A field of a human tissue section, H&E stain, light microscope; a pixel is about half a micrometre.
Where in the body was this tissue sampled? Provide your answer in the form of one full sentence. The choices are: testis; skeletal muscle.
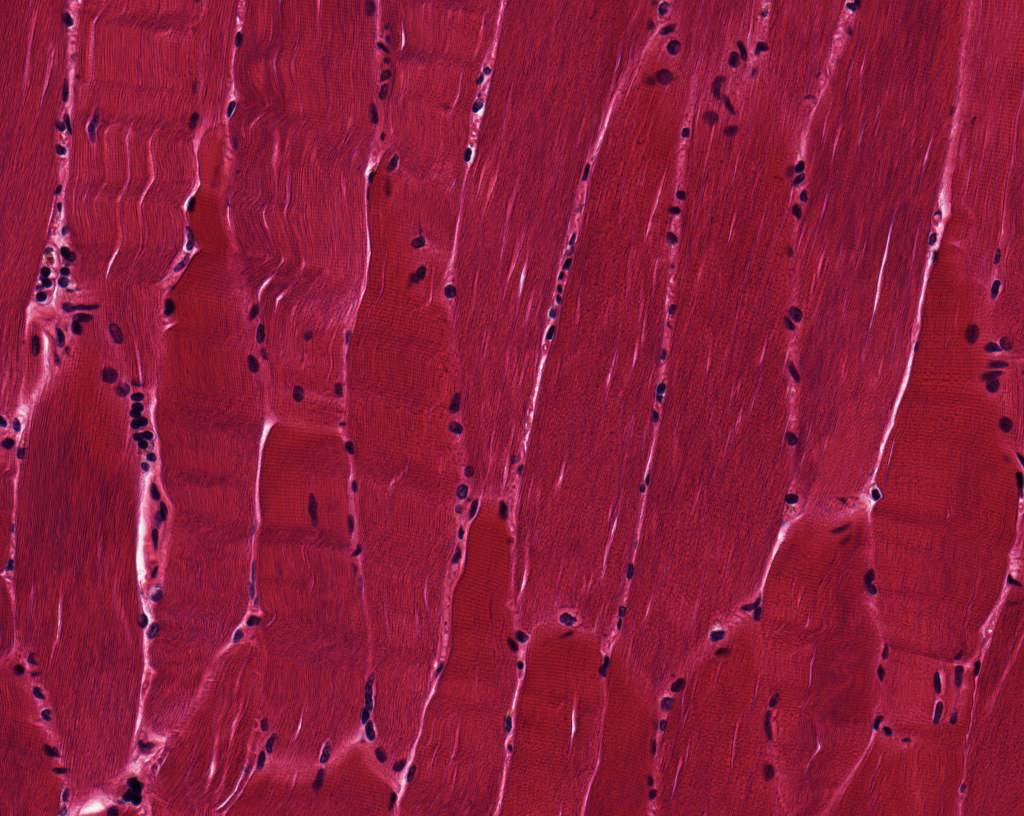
From the skeletal muscle this tissue was sampled.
